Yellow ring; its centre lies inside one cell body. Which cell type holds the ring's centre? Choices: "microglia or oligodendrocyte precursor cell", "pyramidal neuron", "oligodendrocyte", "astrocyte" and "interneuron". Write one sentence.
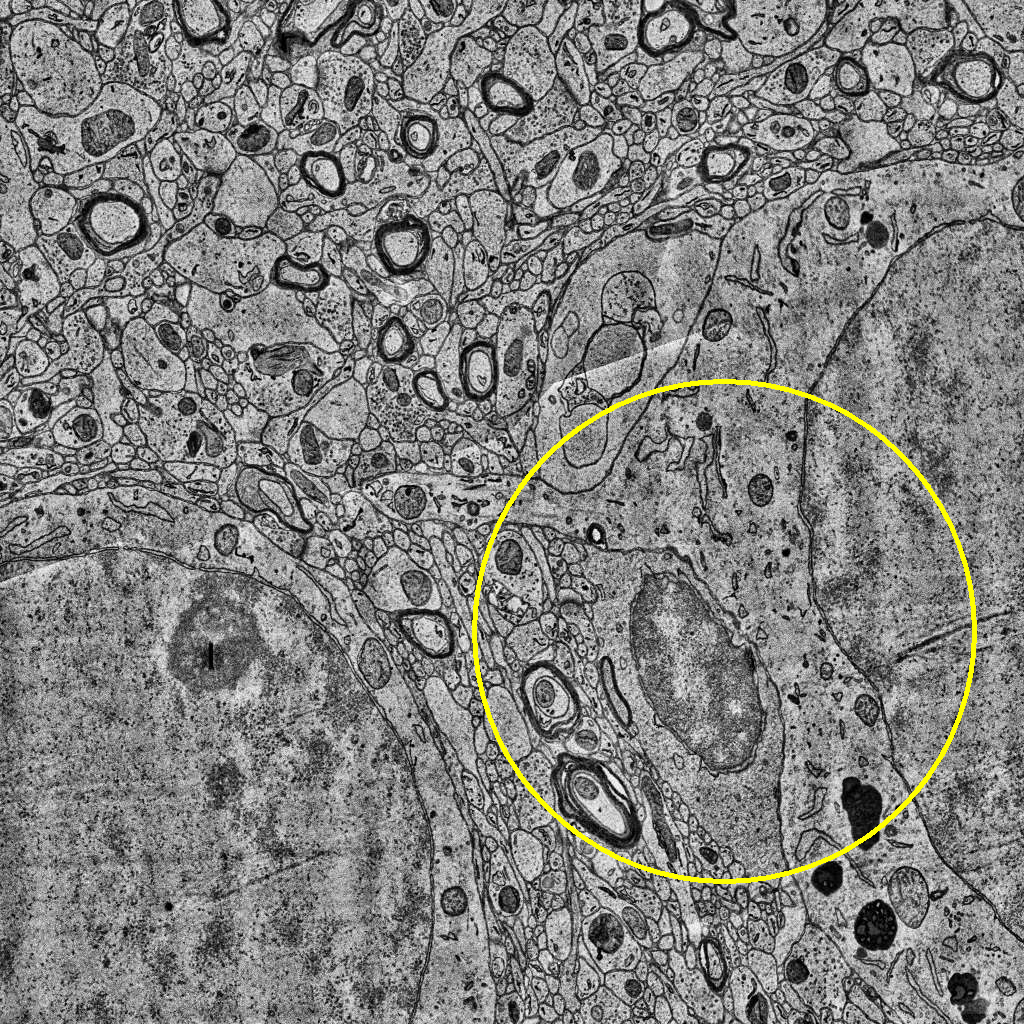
At the centre of the ring sits an oligodendrocyte.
